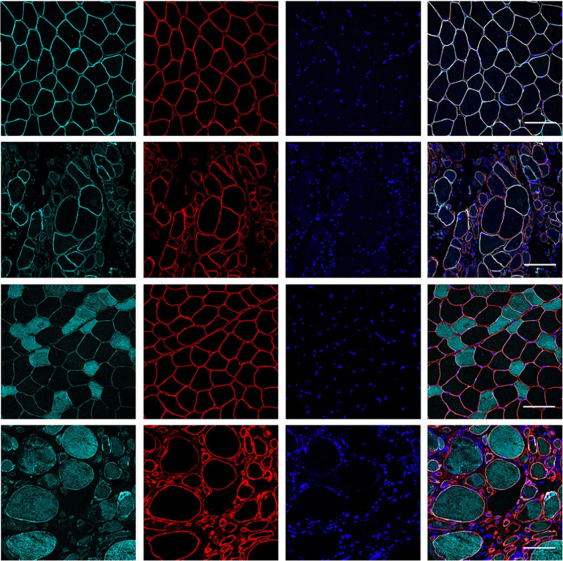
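These are cross sections of skeletal muscle fibres whose sarcolemma is traced by red rims, with blue nuclei at the fibre edges. The cyan marks the fibre borders and in some rows also fills the interior of scattered fibres in a patchy mosaic.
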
